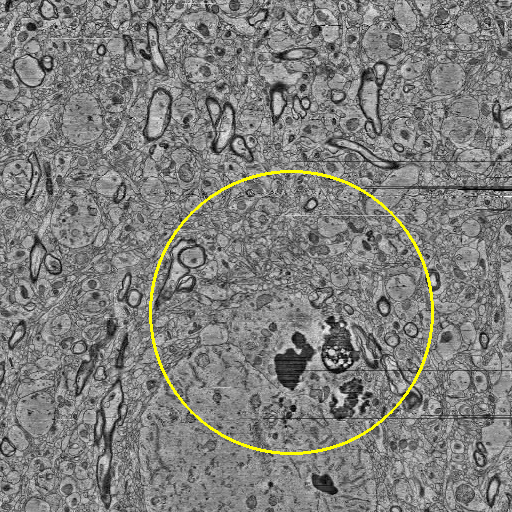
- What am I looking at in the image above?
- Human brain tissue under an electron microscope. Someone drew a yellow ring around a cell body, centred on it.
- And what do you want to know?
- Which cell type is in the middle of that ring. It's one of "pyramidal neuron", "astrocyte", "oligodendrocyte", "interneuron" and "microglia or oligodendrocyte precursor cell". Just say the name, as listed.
oligodendrocyte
